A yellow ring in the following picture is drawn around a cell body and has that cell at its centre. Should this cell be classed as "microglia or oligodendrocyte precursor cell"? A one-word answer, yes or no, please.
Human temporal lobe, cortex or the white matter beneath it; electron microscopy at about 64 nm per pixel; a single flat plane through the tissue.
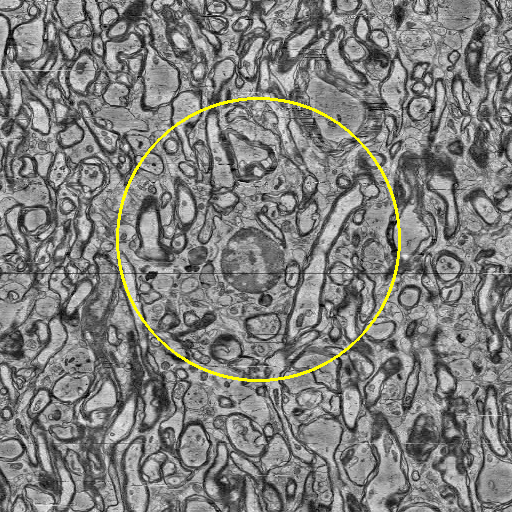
Yes, it is of that kind.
